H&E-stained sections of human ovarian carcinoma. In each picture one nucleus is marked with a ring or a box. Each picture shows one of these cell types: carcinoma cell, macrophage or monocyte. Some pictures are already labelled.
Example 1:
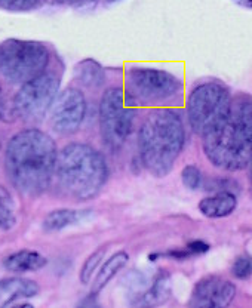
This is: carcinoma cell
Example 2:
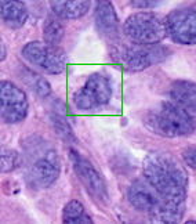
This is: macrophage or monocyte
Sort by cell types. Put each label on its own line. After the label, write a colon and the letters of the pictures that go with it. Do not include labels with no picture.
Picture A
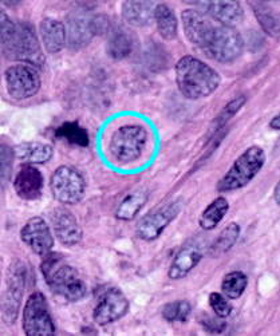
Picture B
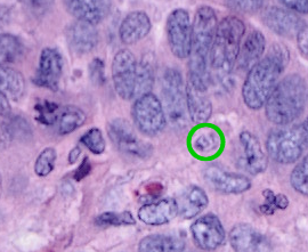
macrophage or monocyte: A, B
